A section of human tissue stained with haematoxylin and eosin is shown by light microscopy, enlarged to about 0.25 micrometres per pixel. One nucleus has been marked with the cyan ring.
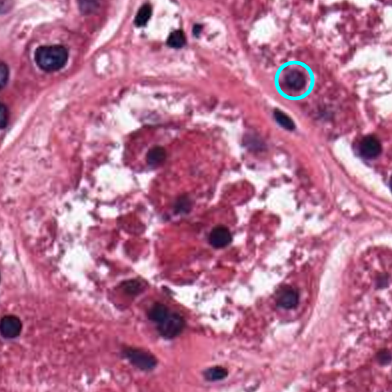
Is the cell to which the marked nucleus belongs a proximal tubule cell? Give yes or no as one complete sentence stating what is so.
Yes, in the picture the marked nucleus belongs to a proximal tubule cell.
